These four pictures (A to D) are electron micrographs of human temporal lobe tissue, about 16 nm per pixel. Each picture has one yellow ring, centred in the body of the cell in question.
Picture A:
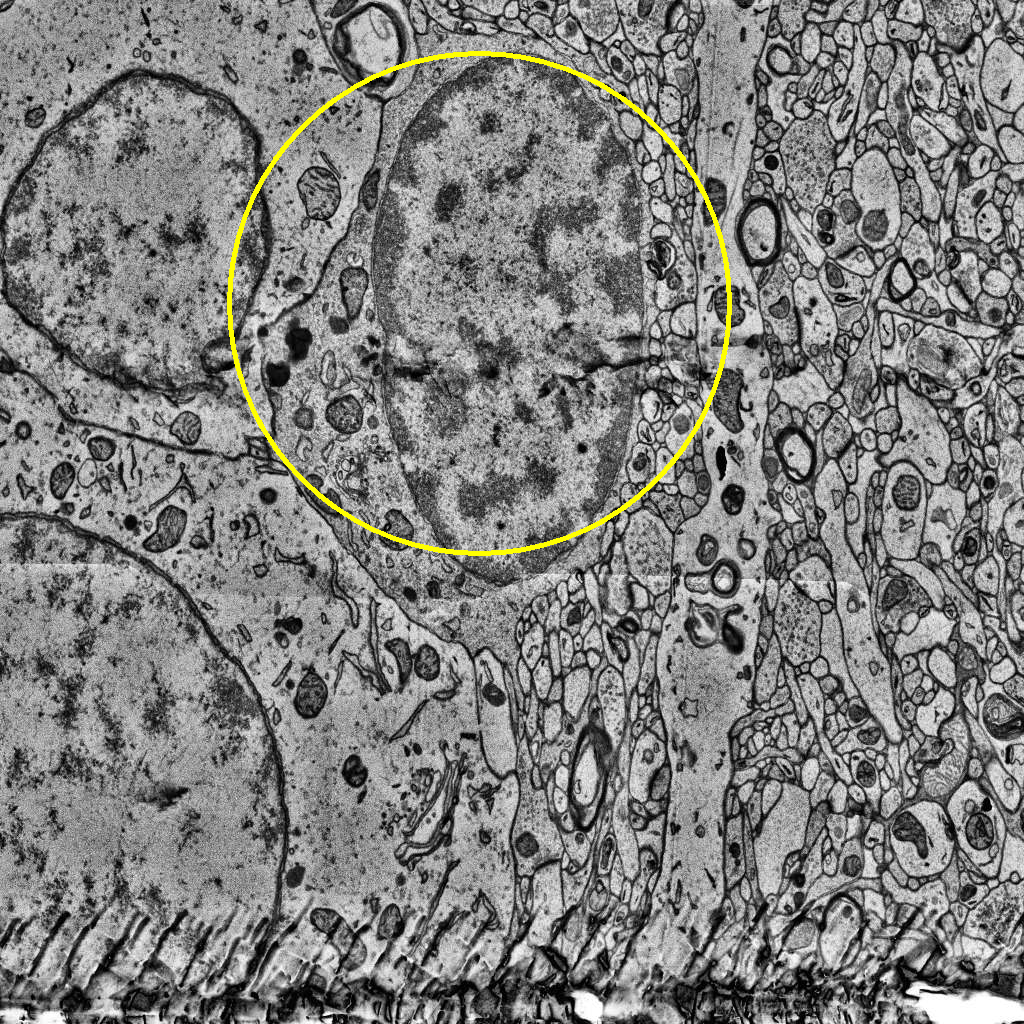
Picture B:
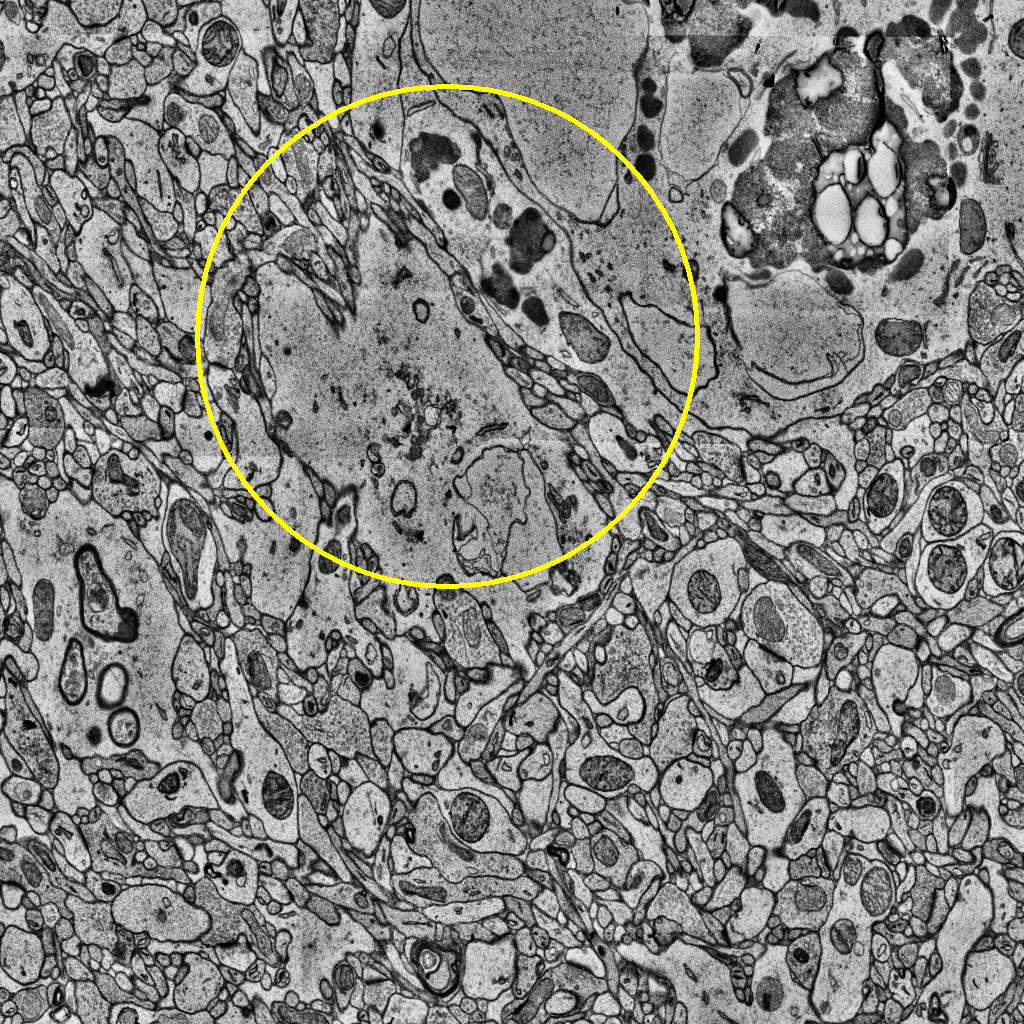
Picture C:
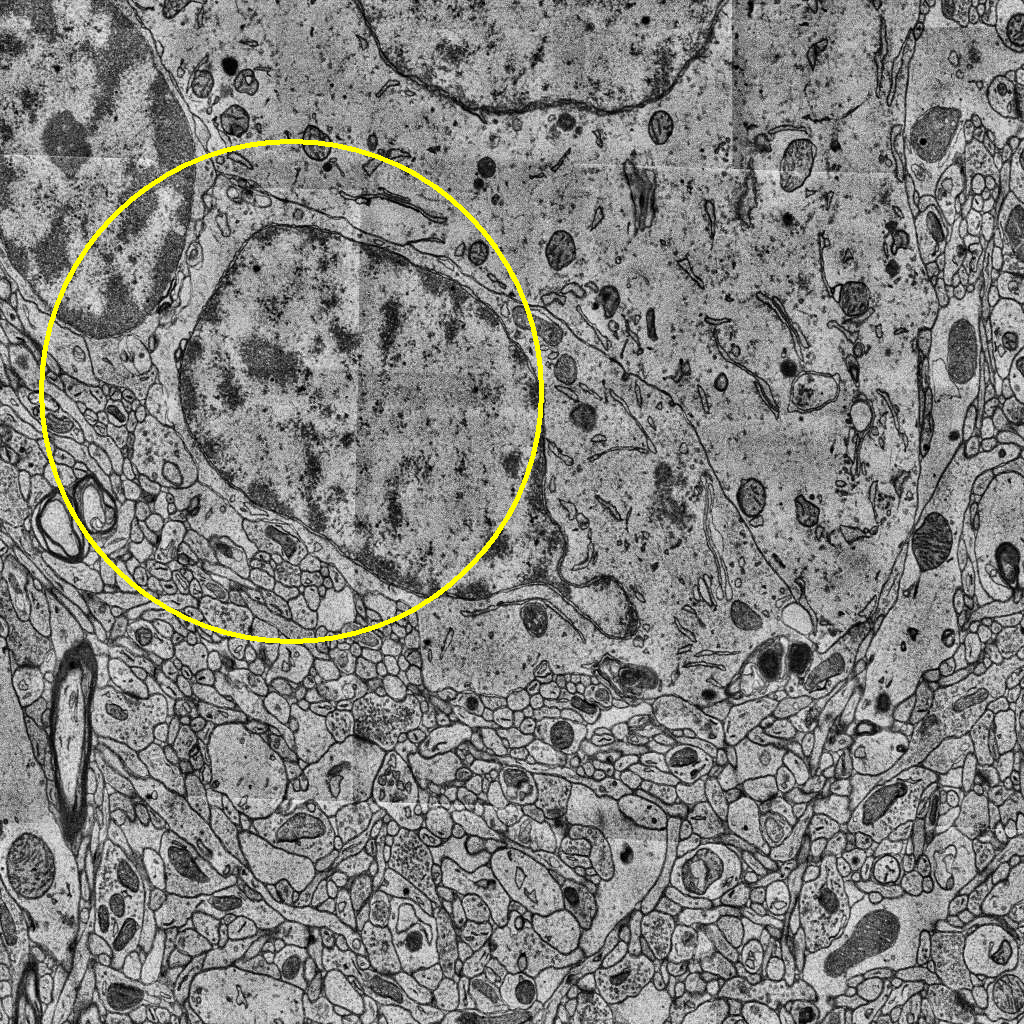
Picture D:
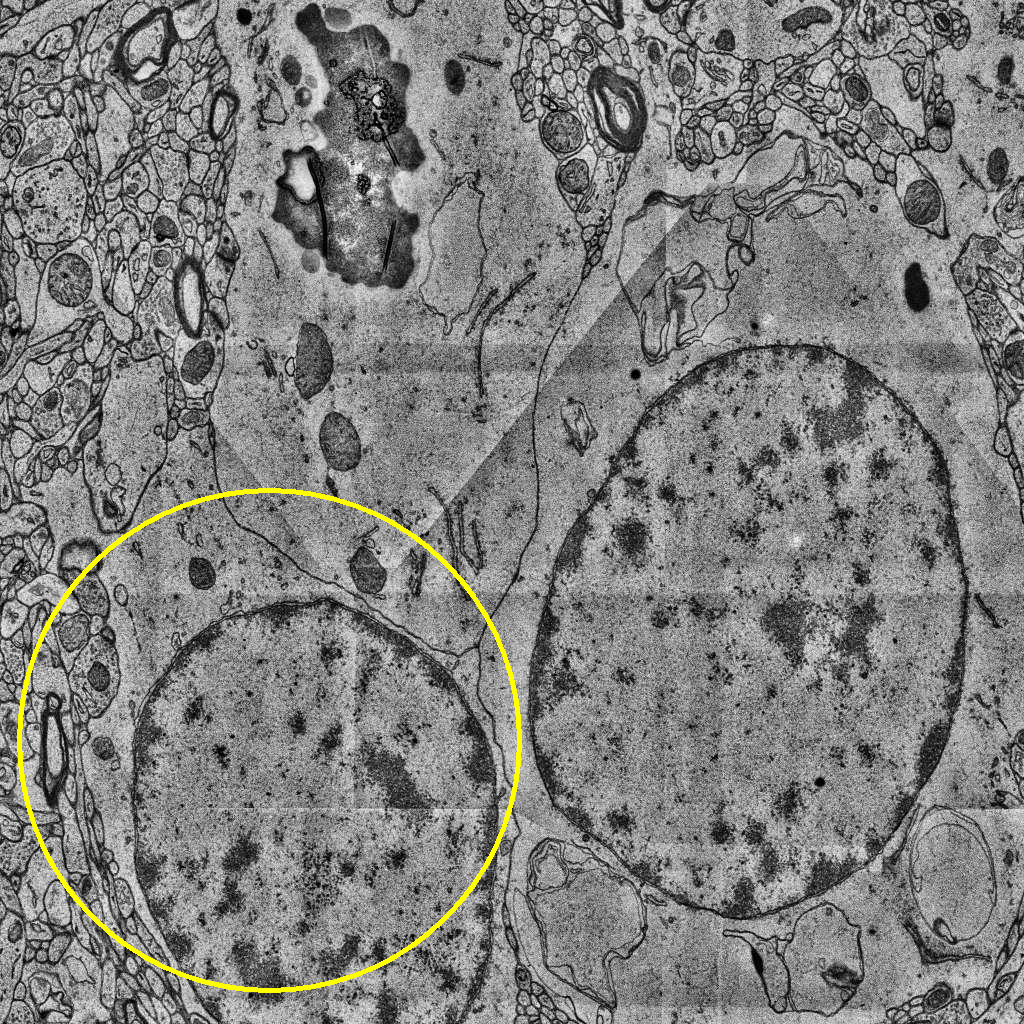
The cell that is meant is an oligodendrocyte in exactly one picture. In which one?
Picture A is the one that shows the oligodendrocyte.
